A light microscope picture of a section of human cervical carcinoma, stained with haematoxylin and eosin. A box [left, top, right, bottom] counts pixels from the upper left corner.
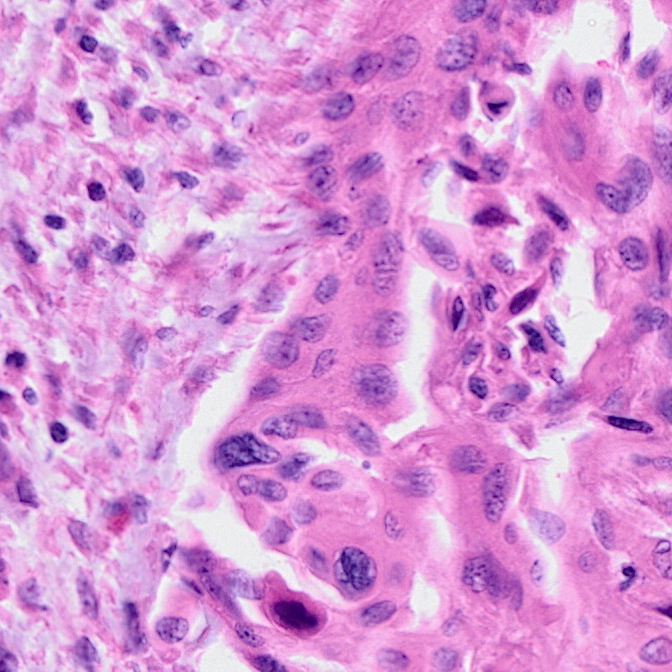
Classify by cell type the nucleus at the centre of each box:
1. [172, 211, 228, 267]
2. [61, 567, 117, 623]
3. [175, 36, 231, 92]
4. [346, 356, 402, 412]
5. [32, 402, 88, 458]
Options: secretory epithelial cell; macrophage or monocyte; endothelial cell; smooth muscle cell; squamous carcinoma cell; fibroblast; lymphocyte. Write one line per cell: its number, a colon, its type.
1: fibroblast
2: fibroblast
3: fibroblast
4: squamous carcinoma cell
5: lymphocyte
